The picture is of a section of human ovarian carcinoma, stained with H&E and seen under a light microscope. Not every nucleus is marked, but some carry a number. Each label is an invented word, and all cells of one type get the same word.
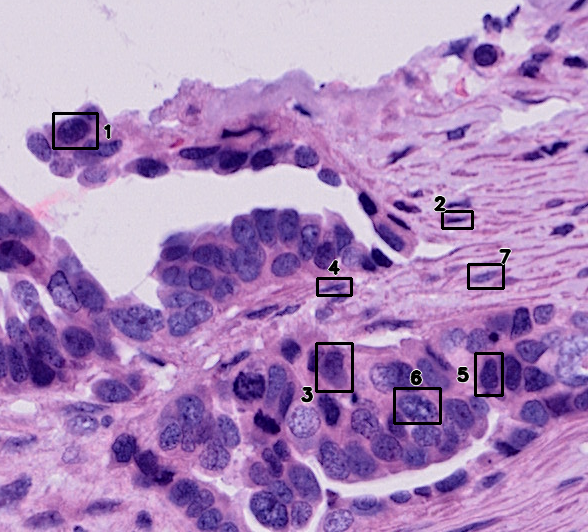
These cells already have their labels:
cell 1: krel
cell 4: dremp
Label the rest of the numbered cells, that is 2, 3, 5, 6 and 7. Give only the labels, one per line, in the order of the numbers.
dremp
krel
krel
krel
dremp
